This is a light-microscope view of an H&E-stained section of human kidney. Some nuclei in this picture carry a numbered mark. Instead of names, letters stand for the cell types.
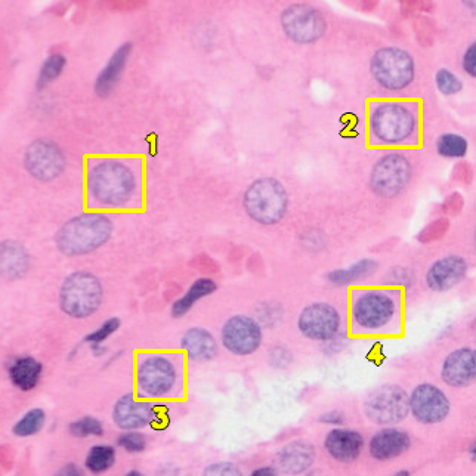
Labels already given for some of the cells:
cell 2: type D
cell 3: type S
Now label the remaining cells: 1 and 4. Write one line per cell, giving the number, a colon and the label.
1: type D
4: type S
